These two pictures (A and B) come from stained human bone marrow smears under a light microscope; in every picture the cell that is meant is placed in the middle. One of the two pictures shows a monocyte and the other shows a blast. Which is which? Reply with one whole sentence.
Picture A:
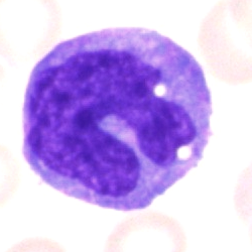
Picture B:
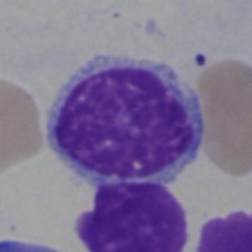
It is picture A that shows a monocyte, and picture B that shows a blast.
